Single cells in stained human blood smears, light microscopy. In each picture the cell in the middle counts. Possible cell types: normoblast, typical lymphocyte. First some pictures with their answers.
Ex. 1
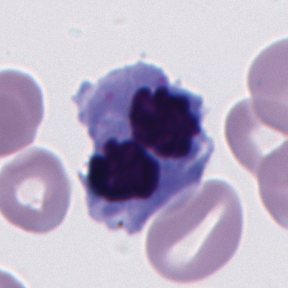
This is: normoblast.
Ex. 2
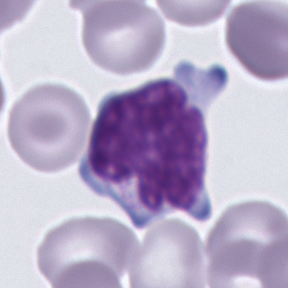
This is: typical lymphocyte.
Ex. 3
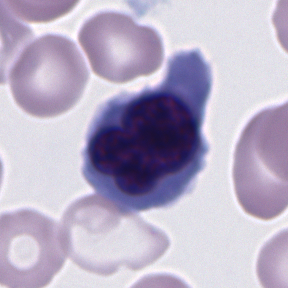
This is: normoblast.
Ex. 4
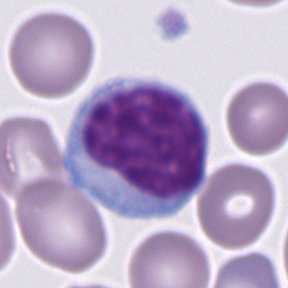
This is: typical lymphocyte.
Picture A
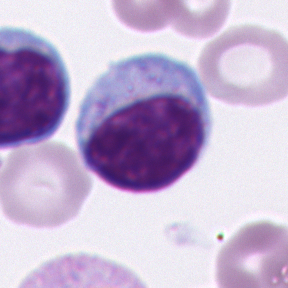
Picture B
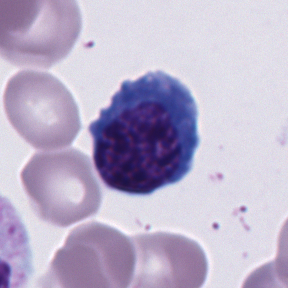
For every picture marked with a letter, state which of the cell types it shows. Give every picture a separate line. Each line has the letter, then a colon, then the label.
A: typical lymphocyte.
B: normoblast.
